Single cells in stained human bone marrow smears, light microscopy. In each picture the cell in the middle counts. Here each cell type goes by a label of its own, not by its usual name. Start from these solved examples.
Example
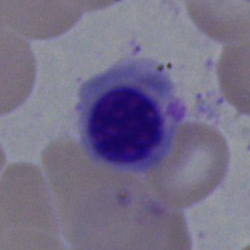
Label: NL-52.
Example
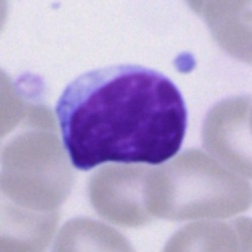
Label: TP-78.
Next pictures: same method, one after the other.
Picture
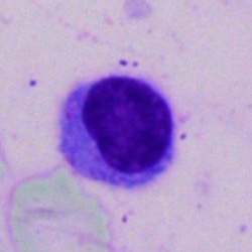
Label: TP-78.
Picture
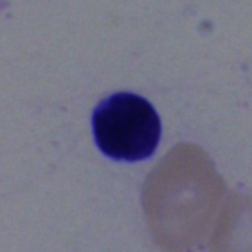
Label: TP-78.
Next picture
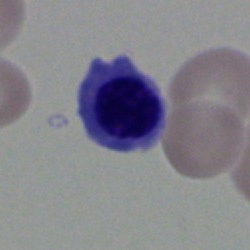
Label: NL-52.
